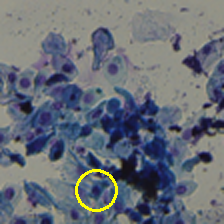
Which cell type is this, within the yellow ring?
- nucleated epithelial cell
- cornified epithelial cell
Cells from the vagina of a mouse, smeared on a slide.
Within the ring is a nucleated epithelial cell.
